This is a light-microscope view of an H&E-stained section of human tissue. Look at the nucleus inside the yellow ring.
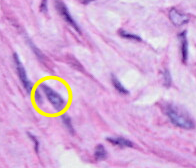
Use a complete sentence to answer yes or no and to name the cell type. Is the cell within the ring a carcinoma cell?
No, as classified here, the cell within the ring is a fibroblast and not a carcinoma cell.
